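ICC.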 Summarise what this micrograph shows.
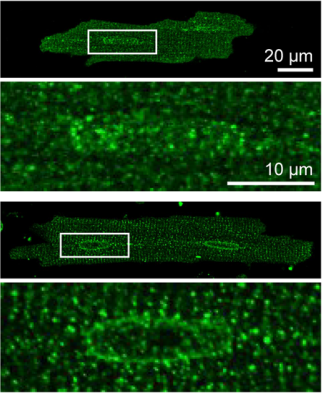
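These are isolated heart muscle cells shown by green fluorescence, each cell seen whole above and with the region around its nucleus enlarged below. The cells are long and roughly rectangular, with squared-off, stepped ends. The green label forms fine dots arranged in regular transverse rows across the cytoplasm, giving the cells a striated look. In the enlarged views the green dots are scattered over and around the nucleus, and in the lower cell they gather into a bright ring along the nuclear rim with a darker interior.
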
